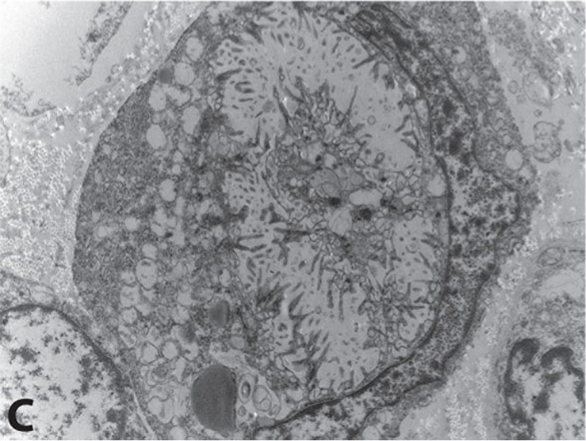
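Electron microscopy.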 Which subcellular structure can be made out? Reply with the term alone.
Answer: Microvilli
